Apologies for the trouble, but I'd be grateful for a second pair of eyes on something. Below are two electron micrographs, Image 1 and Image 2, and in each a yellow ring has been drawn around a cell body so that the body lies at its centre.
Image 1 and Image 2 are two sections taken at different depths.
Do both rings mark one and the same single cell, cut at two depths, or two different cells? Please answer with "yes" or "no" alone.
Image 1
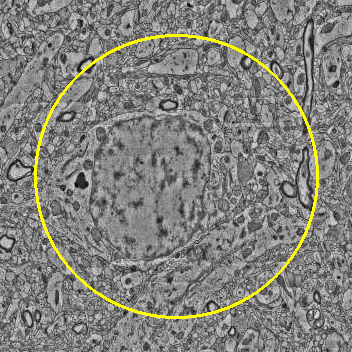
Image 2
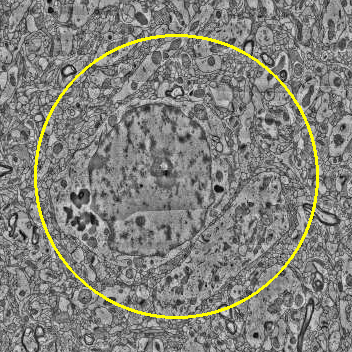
yes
